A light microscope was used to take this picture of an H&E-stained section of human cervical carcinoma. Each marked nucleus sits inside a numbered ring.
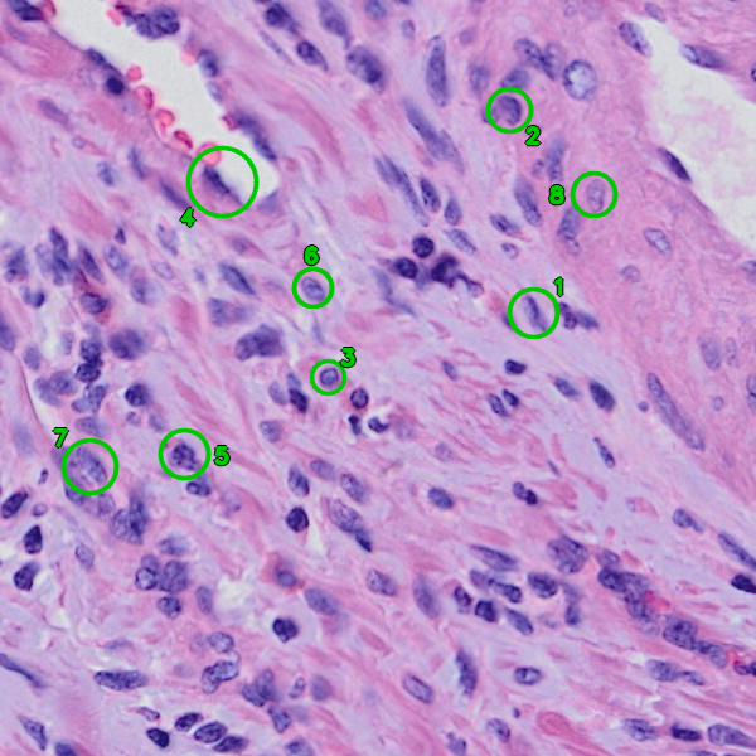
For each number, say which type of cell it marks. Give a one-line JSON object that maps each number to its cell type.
{"1": "fibroblast", "2": "smooth muscle cell", "3": "smooth muscle cell", "4": "endothelial cell", "5": "lymphocyte", "6": "smooth muscle cell", "7": "endothelial cell", "8": "smooth muscle cell"}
